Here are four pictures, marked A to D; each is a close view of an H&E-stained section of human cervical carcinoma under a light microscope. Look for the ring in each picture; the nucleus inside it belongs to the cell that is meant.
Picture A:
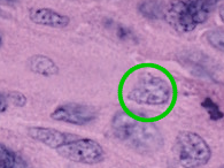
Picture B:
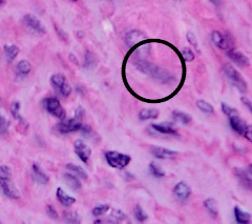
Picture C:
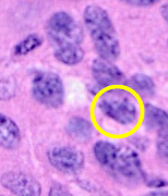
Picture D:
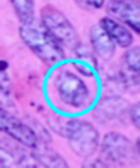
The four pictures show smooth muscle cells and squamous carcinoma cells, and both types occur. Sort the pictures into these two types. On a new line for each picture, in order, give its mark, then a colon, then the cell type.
A: squamous carcinoma cell
B: smooth muscle cell
C: squamous carcinoma cell
D: squamous carcinoma cell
